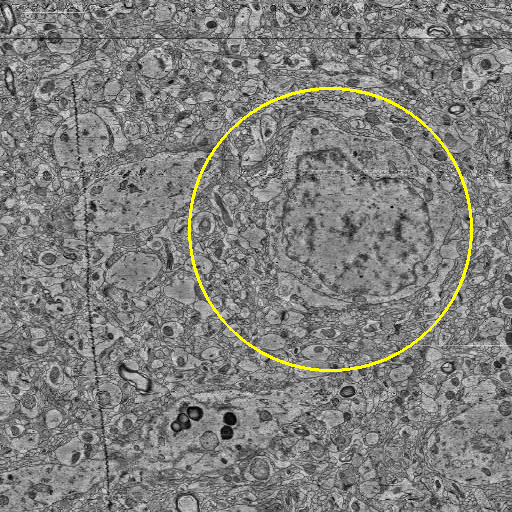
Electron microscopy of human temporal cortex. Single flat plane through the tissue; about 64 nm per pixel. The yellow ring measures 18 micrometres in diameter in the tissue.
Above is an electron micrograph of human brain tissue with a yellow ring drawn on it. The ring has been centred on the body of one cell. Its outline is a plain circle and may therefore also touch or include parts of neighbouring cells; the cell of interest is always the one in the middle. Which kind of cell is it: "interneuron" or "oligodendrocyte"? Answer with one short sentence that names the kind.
The ring's central cell body is that of an interneuron.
